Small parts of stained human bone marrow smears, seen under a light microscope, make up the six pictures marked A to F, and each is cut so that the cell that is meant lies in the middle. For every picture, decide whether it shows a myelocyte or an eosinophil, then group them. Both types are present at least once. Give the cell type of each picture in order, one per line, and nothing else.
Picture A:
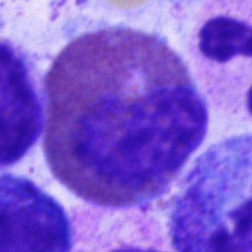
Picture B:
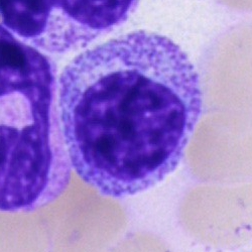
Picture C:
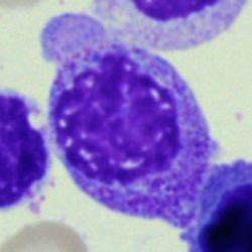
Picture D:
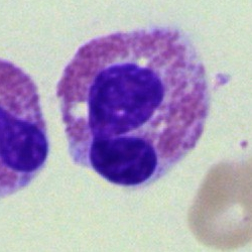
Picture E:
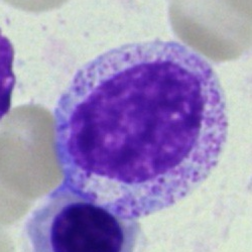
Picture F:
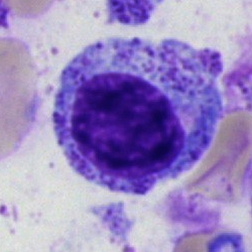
eosinophil
myelocyte
myelocyte
eosinophil
myelocyte
myelocyte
